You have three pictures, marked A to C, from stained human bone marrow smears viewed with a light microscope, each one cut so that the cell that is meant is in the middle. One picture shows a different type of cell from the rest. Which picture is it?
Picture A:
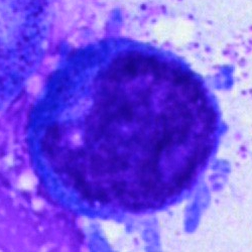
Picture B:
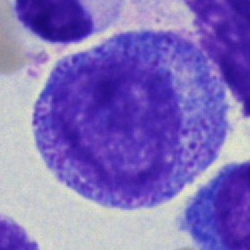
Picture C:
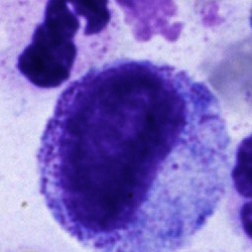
A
